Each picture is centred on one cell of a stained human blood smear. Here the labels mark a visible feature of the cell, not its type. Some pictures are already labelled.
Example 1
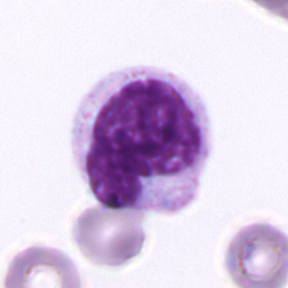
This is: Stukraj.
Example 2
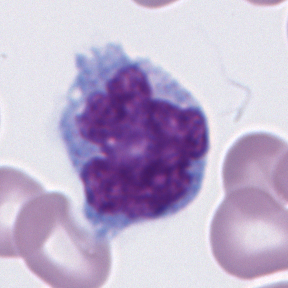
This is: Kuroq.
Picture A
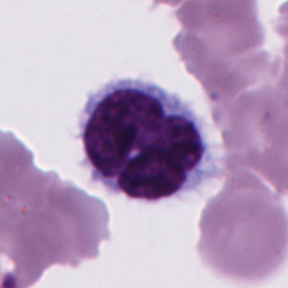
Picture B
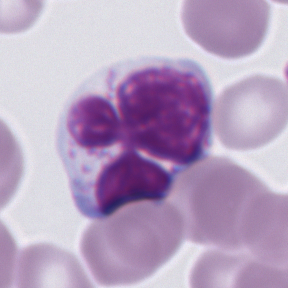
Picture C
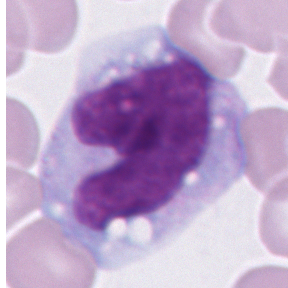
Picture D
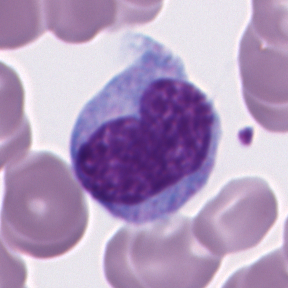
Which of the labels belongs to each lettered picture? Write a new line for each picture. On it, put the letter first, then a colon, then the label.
A: Kuroq.
B: Kuroq.
C: Stukraj.
D: Stukraj.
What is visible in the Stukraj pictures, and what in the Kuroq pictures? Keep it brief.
In Stukraj: single compact nucleus. In Kuroq: lobed nucleus.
